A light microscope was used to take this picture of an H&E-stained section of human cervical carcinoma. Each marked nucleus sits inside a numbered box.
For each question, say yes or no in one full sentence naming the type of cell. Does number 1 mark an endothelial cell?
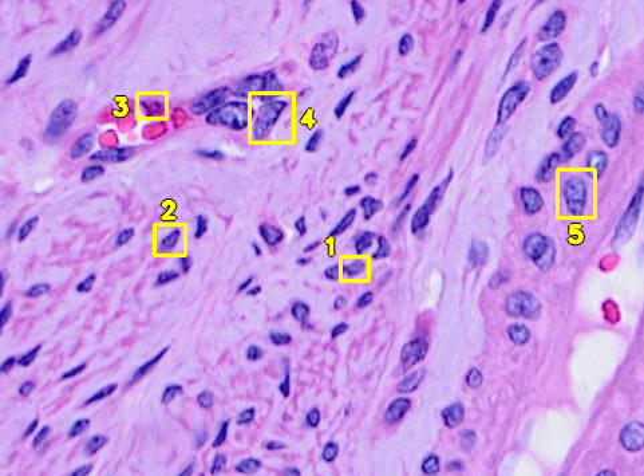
No, the cell marked 1 is a smooth muscle cell rather than an endothelial cell.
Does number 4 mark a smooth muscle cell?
No, as for cell 4, it is an endothelial cell and not a smooth muscle cell.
